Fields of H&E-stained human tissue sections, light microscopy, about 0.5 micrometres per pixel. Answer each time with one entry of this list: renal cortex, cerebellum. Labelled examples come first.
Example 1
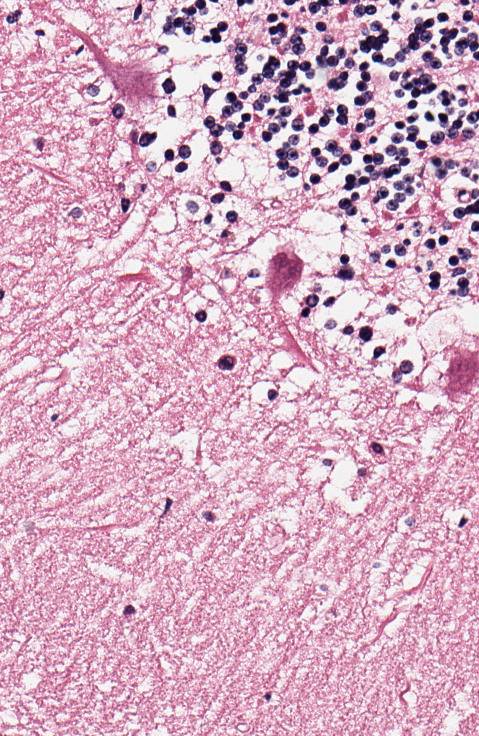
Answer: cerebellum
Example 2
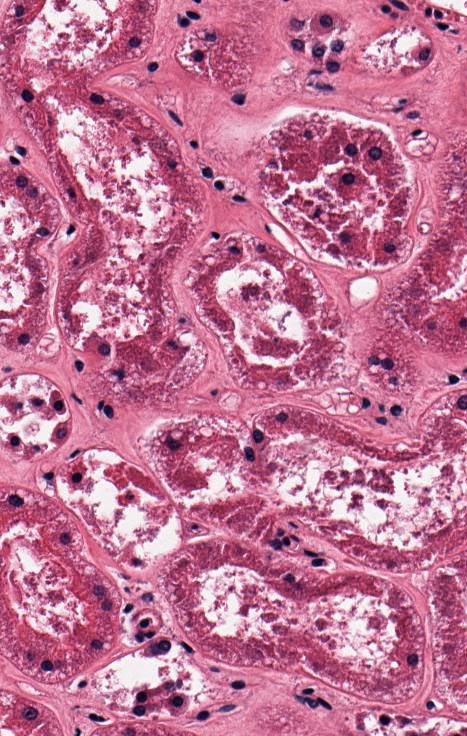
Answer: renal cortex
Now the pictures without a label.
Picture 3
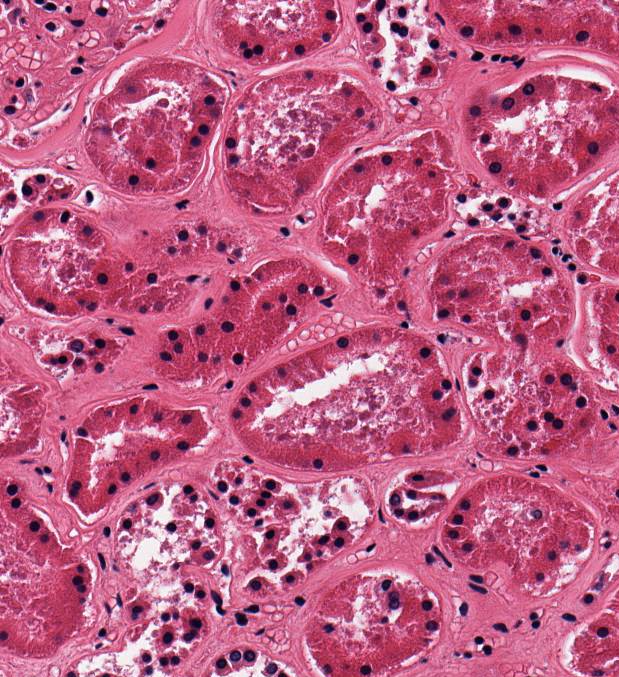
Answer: renal cortex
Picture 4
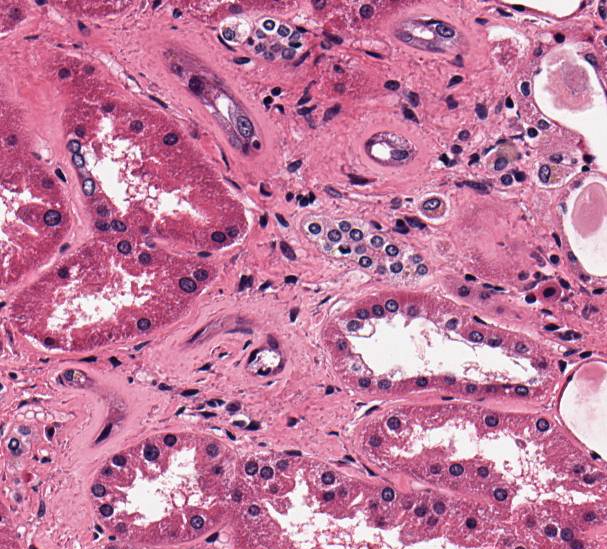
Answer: renal cortex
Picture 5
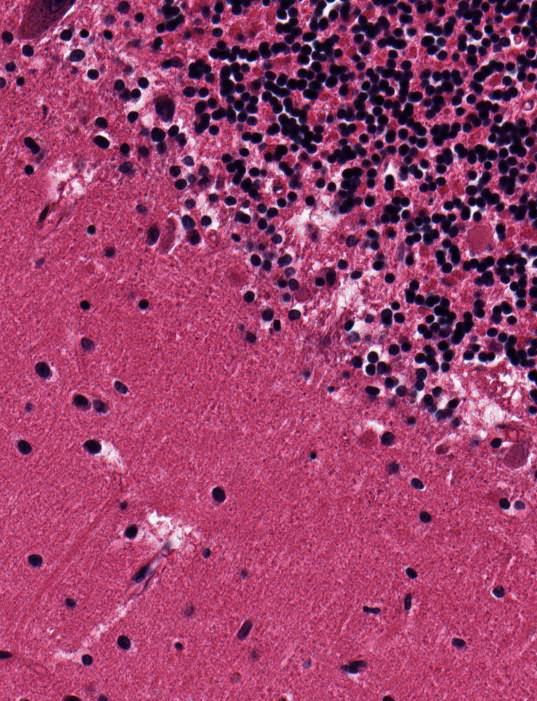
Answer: cerebellum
